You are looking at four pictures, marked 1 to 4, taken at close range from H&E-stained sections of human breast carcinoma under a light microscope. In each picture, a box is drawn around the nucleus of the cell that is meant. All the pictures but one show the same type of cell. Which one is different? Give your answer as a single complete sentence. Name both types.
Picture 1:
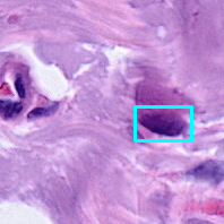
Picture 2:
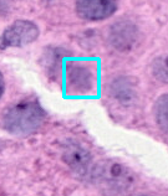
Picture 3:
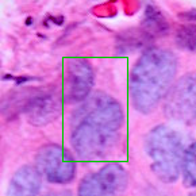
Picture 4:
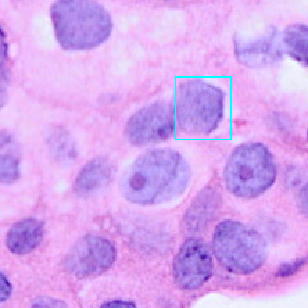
Picture 1 is the odd one out: it shows a fibroblast, while the others show carcinoma cells.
